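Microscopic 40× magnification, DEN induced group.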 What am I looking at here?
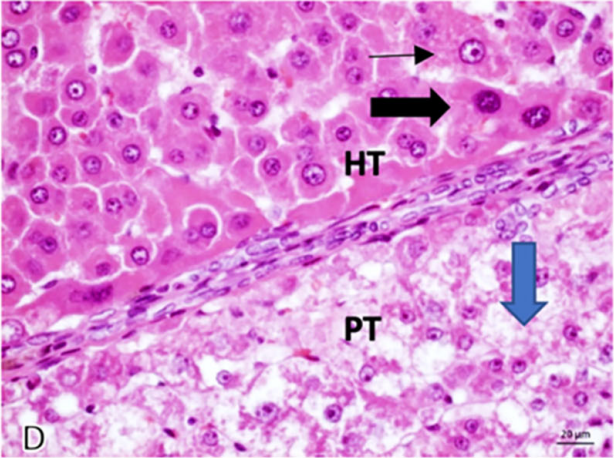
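This is liver tissue in which two populations of hepatocytes are separated by a thin band of connective tissue with elongated, spindle-shaped nuclei running diagonally across the field. Above the band, the cells are large and polygonal with pink cytoplasm, round vesicular nuclei and conspicuous nucleoli, and a few cells have dark, densely stained nuclei. Below the band, the cells are swollen and have pale, cleared, foamy cytoplasm, typical of ballooning degeneration. The nuclei in the pale cells are small and stand out within the swollen cell bodies. The contrast between the solid pink upper region and the pale lower region dominates the picture.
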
